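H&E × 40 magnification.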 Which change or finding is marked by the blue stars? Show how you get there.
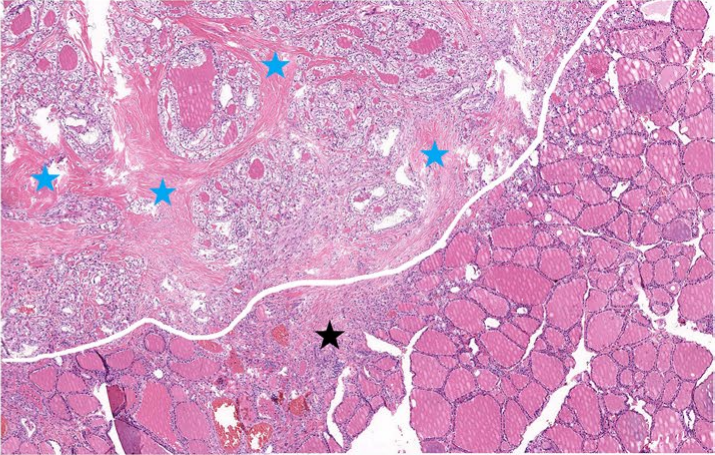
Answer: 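Broad pink bands of wavy fibrous material lie where the blue stars are. These bands hold few nuclei. The bands run between and around clusters of cells in the upper left region.
Answer: fiber and collagen hyperplasia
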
